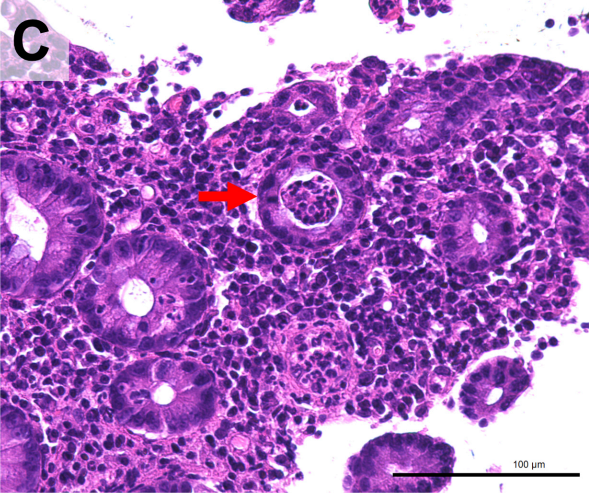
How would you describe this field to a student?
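Colonic mucosa with crypts cut in cross-section, each lined by tall columnar epithelial cells with basal dark nuclei around a small central lumen. The lamina propria between the crypts is crowded with small round inflammatory cells with dark nuclei. One crypt has its lumen filled with inflammatory cells, forming a crypt abscess.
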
